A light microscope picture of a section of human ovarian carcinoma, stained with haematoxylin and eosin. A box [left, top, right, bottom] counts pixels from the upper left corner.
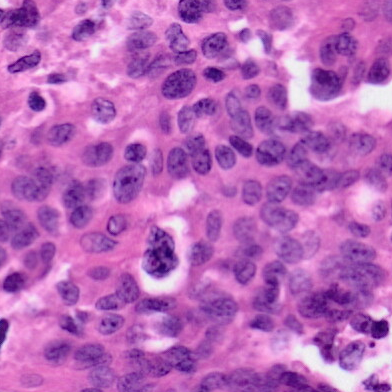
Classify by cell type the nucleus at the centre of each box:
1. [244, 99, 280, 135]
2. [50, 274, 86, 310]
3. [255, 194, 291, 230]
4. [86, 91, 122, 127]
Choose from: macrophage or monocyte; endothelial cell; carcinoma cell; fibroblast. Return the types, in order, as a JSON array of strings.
["carcinoma cell", "macrophage or monocyte", "carcinoma cell", "macrophage or monocyte"]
